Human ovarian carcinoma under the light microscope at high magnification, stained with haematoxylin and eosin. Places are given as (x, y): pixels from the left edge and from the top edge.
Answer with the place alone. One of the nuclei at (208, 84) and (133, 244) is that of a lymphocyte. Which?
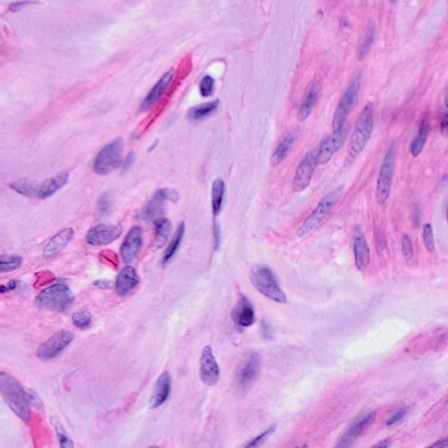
(208, 84)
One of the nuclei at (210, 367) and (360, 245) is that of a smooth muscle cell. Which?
(360, 245)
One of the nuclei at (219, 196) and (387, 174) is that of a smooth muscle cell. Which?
(387, 174)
